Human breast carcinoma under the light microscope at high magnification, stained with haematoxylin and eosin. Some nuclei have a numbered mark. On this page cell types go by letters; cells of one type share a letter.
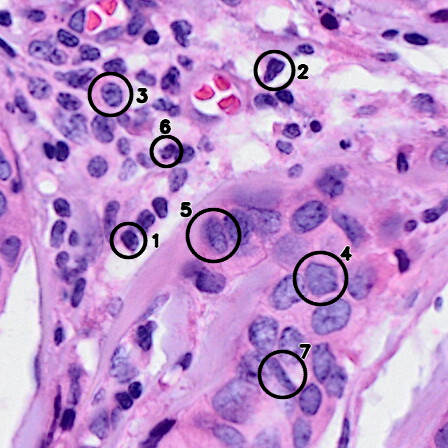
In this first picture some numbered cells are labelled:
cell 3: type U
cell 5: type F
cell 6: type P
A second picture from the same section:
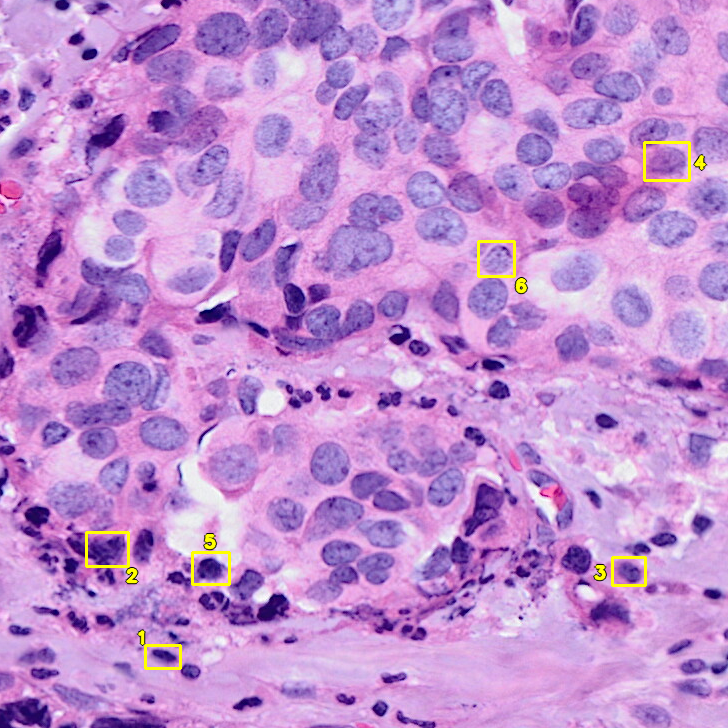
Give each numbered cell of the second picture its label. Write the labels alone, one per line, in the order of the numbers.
type P
type F
type U
type F
type F
type F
